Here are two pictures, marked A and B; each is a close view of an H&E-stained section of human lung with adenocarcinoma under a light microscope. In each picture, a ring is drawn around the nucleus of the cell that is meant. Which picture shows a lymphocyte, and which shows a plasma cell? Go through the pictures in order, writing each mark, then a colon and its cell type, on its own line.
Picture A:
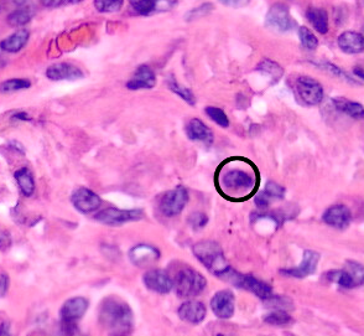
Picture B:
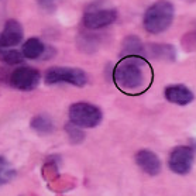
A: plasma cell
B: lymphocyte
